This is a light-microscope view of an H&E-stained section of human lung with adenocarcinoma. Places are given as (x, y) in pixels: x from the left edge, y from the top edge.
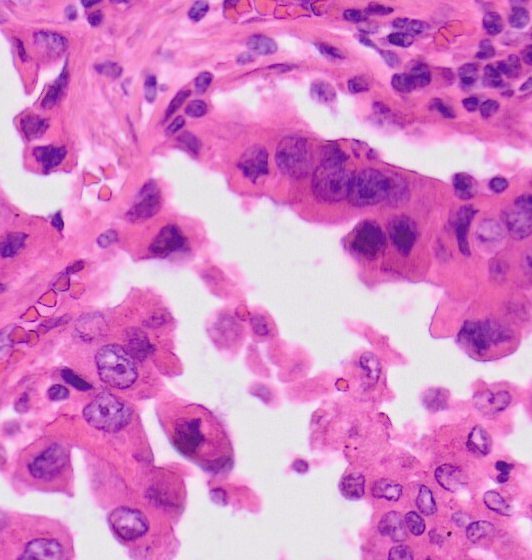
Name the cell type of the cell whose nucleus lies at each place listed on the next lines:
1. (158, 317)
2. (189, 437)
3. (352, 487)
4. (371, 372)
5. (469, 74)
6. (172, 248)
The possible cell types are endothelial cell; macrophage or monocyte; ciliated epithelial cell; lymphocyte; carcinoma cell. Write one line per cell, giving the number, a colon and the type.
1: carcinoma cell
2: carcinoma cell
3: macrophage or monocyte
4: macrophage or monocyte
5: lymphocyte
6: carcinoma cell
